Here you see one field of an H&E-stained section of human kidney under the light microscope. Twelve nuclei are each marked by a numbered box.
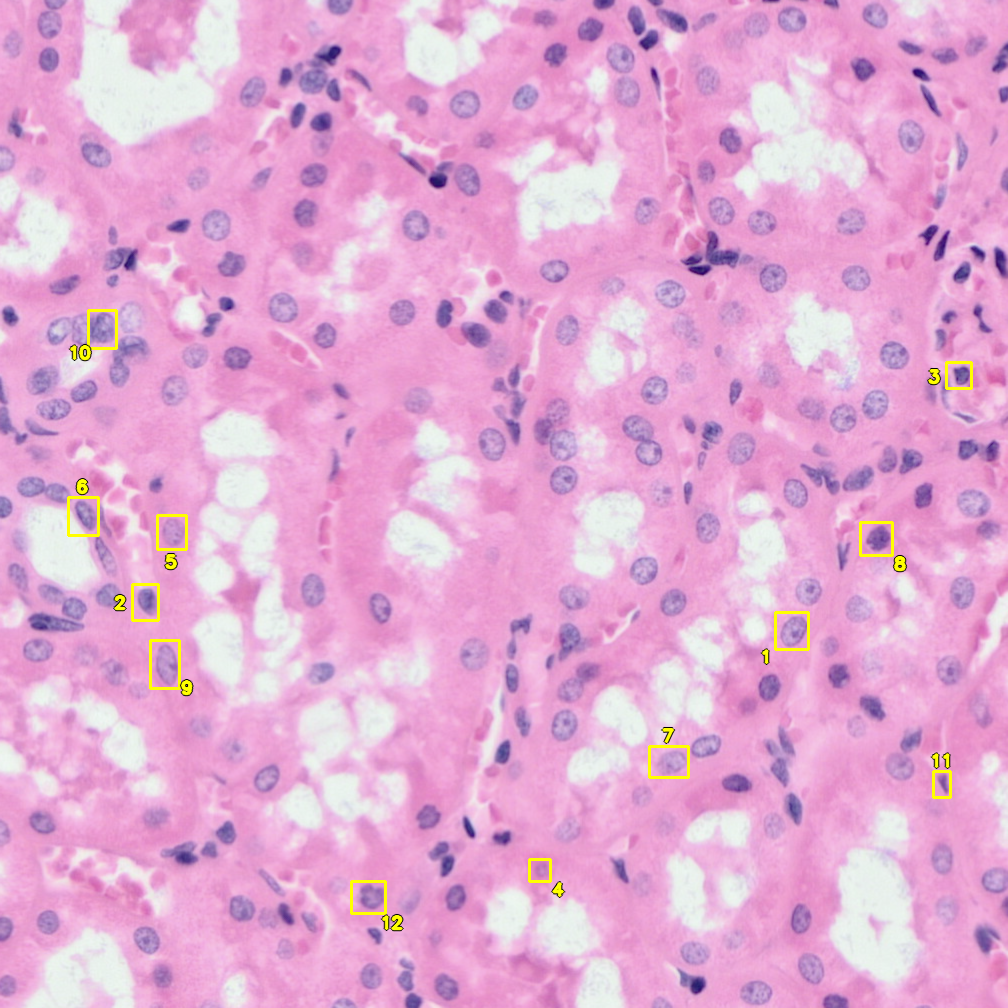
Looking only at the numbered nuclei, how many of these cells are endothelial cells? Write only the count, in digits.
3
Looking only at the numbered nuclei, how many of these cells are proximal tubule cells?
7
